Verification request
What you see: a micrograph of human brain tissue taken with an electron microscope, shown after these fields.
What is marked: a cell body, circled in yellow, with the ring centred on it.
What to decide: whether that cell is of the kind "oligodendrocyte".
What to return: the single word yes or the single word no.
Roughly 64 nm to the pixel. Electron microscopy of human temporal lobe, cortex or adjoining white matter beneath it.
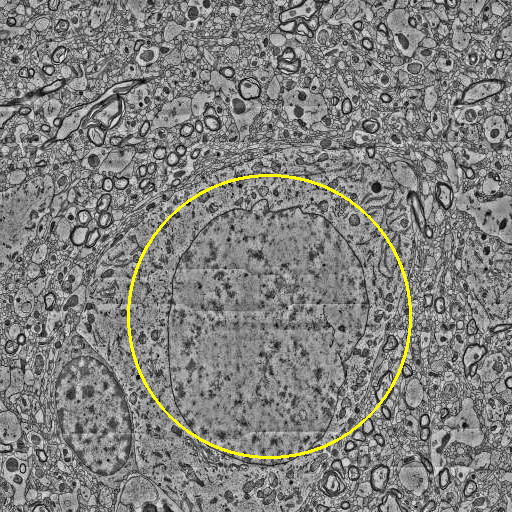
no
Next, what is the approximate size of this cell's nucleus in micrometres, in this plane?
The nucleus of the ringed cell is approximately 17 by 14 micrometres in this plane.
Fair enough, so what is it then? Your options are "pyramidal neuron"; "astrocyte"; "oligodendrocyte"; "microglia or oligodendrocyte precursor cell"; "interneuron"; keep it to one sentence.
This picture has a pyramidal neuron at the centre of its ring.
